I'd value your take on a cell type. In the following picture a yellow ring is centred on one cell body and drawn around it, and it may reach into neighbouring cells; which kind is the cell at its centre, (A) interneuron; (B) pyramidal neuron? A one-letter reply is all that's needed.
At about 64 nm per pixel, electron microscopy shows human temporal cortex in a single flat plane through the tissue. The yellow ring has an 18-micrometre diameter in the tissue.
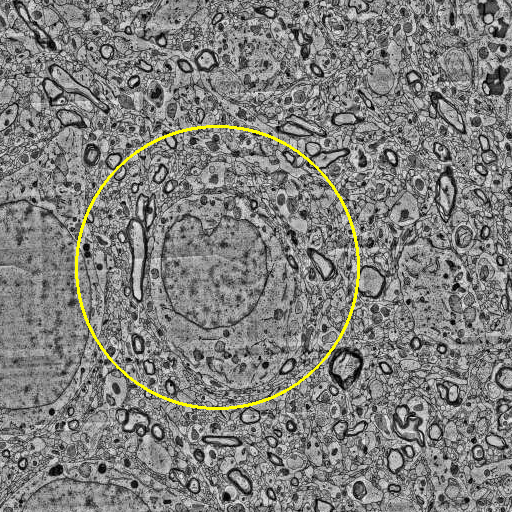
B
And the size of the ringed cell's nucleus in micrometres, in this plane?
In this plane the nucleus measures roughly 7 micrometres across.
